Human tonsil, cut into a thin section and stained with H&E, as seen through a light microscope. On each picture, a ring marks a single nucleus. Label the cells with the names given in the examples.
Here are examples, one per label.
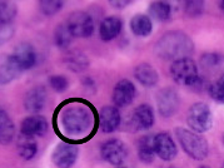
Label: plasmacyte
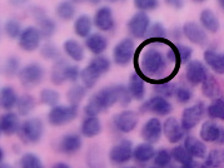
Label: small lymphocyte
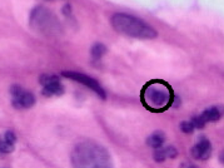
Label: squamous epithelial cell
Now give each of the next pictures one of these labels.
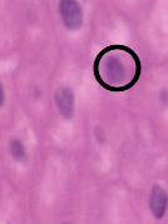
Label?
squamous epithelial cell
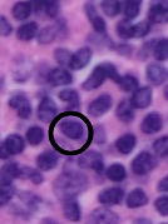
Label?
small lymphocyte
